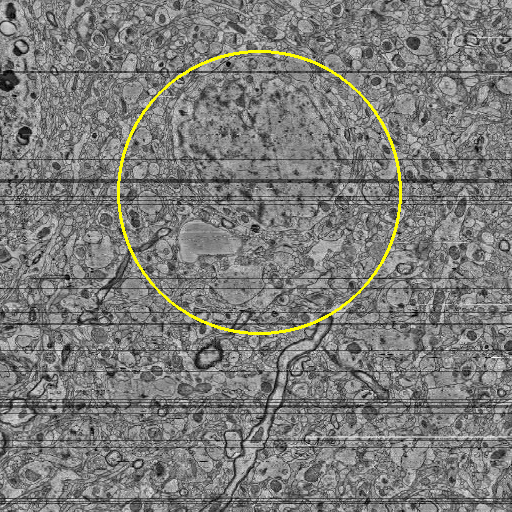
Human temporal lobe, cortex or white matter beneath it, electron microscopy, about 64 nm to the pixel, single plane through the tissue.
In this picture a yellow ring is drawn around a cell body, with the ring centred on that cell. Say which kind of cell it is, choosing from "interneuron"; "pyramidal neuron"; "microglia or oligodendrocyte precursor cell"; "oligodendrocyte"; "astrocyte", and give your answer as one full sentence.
Here it is an interneuron that sits at the centre of the drawn yellow ring.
